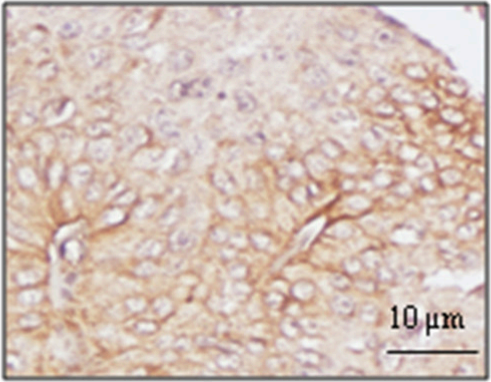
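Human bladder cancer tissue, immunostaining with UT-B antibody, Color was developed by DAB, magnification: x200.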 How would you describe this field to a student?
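The cells are packed closely, each with a pale oval to round nucleus. A moderate, light brown stain lies over the cytoplasm and is somewhat stronger along the cell borders, giving a faint honeycomb pattern. Thin elongated strands, likely small vessels, run through the sheet of cells.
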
